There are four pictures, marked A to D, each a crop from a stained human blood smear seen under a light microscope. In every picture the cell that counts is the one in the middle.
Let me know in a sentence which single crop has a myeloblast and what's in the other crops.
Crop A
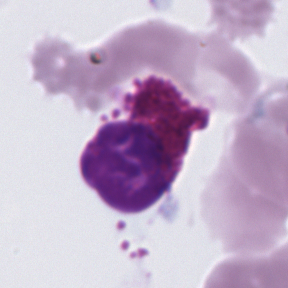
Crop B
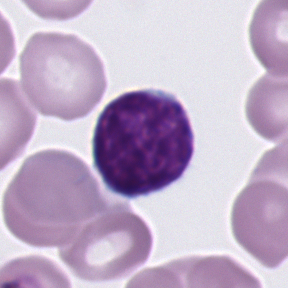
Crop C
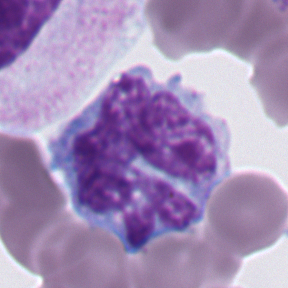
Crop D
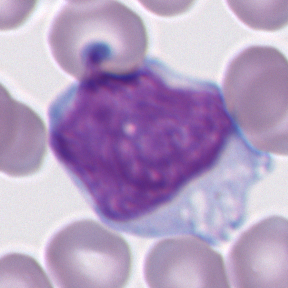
Crop by crop: crop D is a myeloblast, while crop A is an eosinophil, crop B is a typical lymphocyte and crop C is a monocyte.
